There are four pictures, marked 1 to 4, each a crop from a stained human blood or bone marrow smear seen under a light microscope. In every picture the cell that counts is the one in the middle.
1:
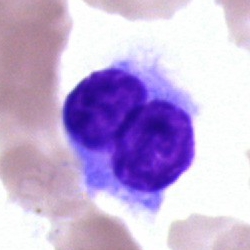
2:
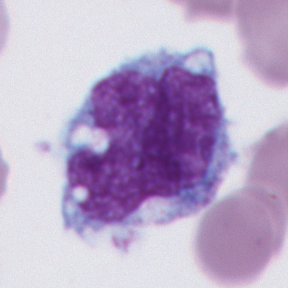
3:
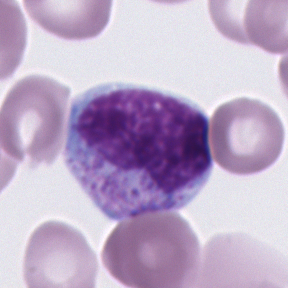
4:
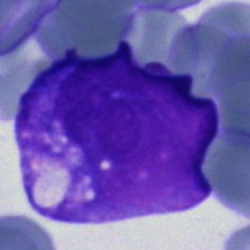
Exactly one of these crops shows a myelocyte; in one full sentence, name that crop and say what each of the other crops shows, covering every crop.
Inside crop 3 there is a myelocyte, while crop 1 is a hairy cell, crop 2 is a monocyte and crop 4 is a blast.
